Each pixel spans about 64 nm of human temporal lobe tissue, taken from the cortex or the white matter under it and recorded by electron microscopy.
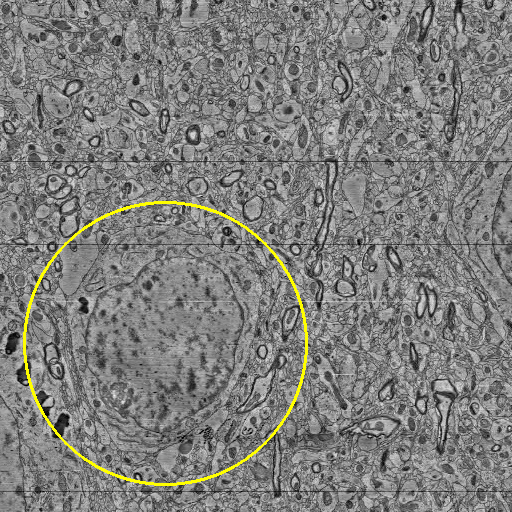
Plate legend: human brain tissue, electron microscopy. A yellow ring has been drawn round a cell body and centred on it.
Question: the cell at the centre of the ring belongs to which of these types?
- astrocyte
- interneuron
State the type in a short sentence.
The cell in the middle of the ring is an interneuron.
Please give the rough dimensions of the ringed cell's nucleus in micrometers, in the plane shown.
Roughly 12 micrometres by 10 micrometres, in this plane.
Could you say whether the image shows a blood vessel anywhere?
No, the picture includes no blood vessel.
